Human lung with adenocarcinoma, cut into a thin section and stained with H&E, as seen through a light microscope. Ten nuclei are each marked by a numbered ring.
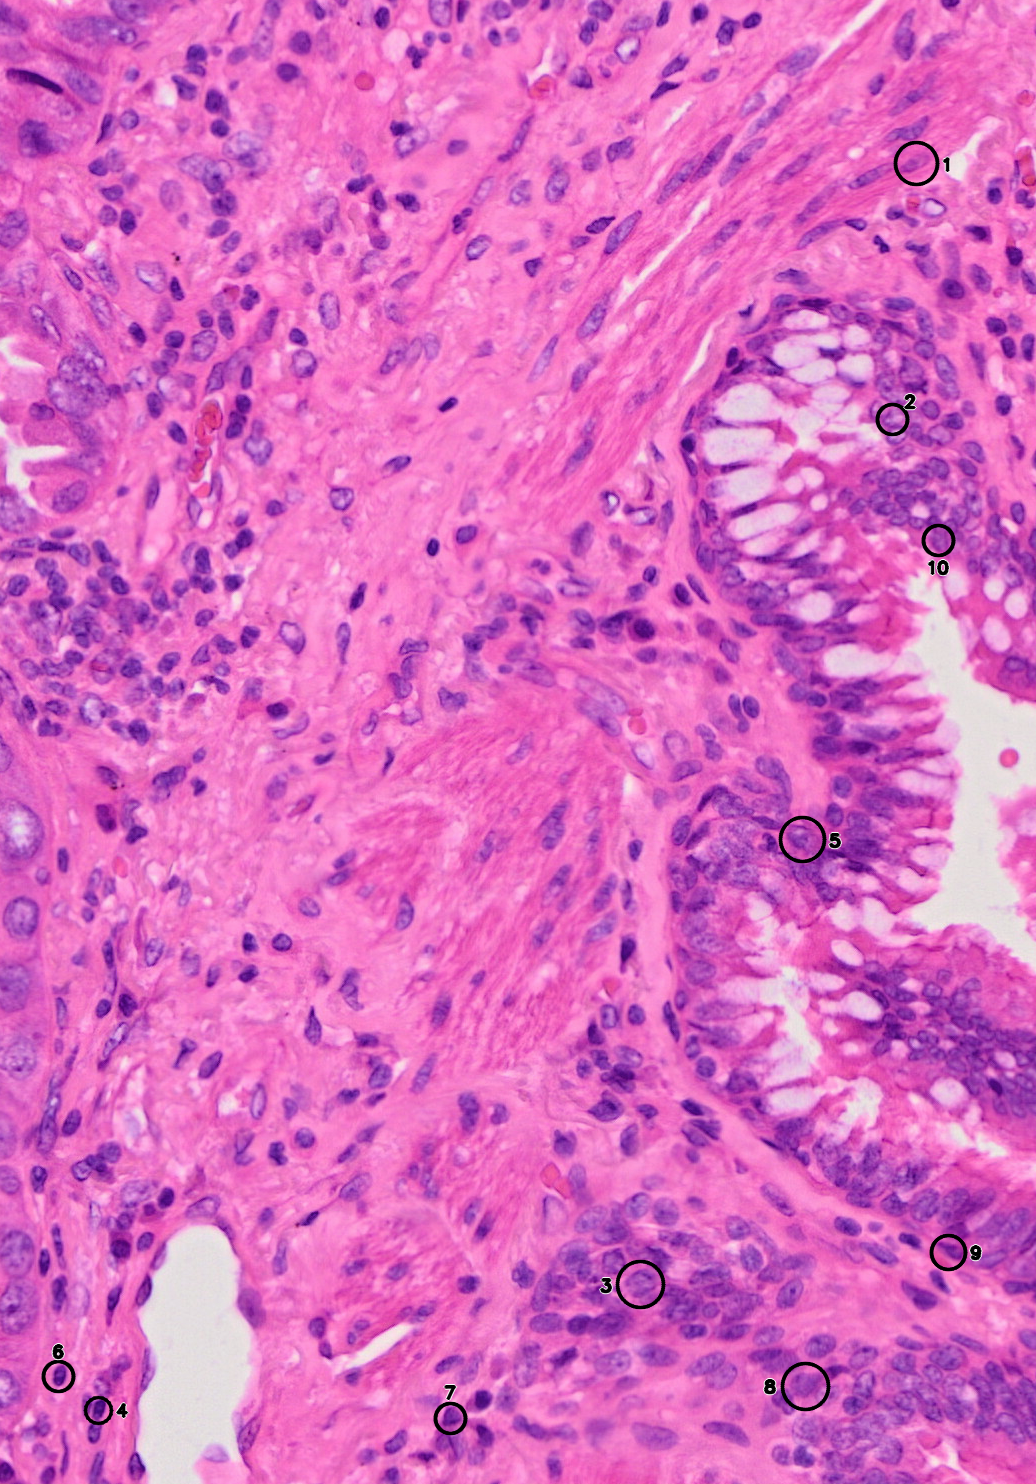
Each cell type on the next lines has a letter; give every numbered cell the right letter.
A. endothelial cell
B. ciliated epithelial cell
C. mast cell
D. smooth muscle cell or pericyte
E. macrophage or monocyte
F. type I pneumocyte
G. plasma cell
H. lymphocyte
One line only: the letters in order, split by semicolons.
D; B; B; H; B; H; G; B; B; B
